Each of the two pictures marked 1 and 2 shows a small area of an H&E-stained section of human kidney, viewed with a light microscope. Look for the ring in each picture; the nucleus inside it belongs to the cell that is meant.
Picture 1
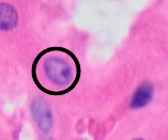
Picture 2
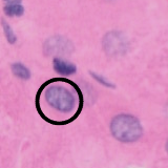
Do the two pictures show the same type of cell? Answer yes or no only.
yes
